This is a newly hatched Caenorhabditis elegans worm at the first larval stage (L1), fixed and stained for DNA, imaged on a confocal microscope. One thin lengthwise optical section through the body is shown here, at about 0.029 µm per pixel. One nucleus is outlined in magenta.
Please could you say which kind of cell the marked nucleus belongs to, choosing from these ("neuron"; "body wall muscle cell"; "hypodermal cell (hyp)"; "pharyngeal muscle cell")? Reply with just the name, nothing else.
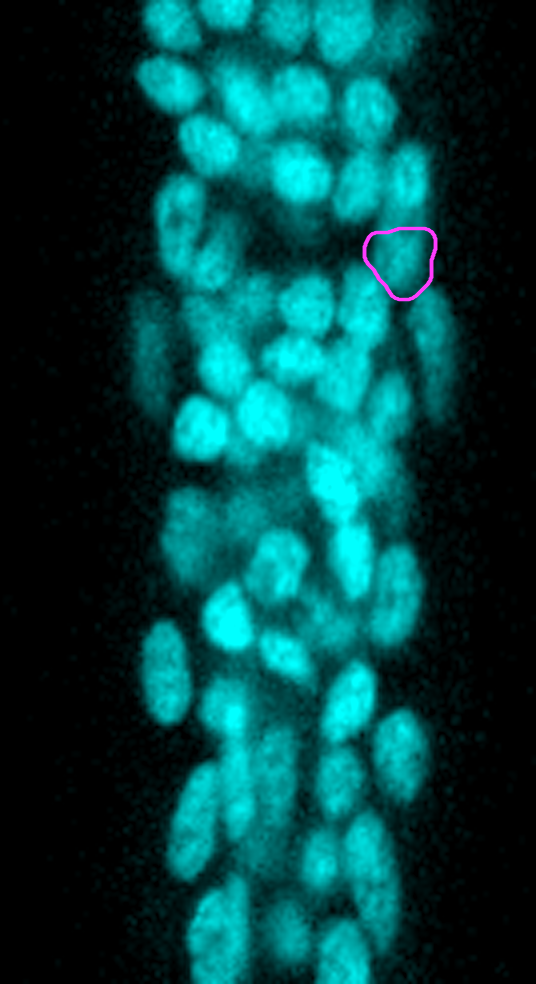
body wall muscle cell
